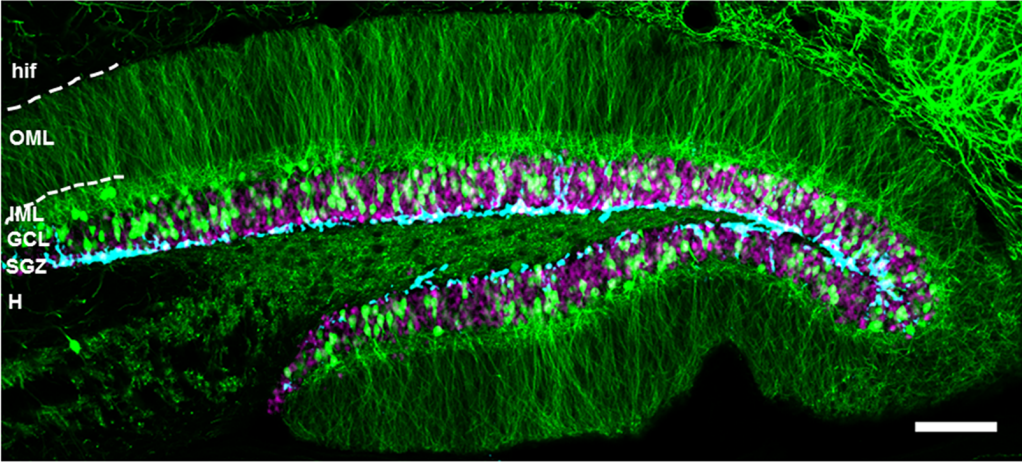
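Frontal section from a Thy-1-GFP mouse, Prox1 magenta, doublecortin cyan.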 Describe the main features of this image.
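Here the whole dentate gyrus is seen at low power: a C-shaped band of tightly packed granule cells, their nuclei magenta and a scattered subset of cell bodies bright green. Along the inner, hilar edge of the band runs a thin cyan line of small cells. From the band, green dendrites stream outward in parallel through the molecular layer toward the fissure, giving a combed look. The hilus in the middle holds only sparse, finely dotted green fibres and an occasional green cell, while dense tangled green fibres fill the upper right corner.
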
